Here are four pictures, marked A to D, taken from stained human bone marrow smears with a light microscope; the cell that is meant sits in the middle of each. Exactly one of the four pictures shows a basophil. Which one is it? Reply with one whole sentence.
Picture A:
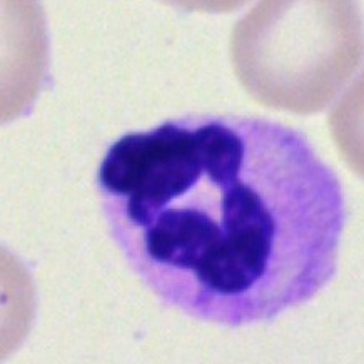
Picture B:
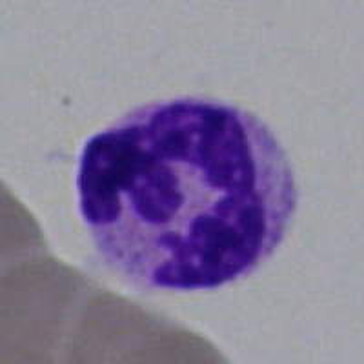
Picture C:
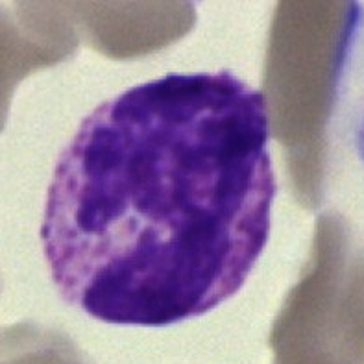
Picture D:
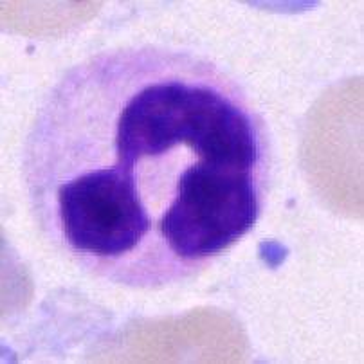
The picture with the basophil is C.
